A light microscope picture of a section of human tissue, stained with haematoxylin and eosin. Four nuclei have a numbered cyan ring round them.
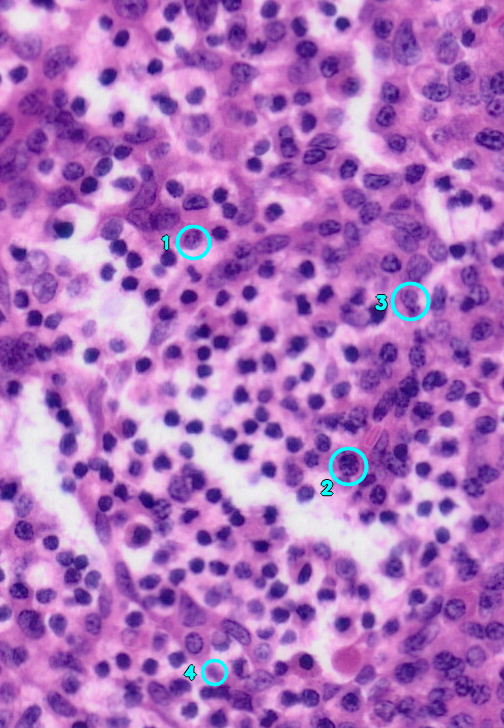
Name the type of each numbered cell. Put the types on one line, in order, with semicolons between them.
plasma cell; plasma cell; plasma cell; squamous epithelial cell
